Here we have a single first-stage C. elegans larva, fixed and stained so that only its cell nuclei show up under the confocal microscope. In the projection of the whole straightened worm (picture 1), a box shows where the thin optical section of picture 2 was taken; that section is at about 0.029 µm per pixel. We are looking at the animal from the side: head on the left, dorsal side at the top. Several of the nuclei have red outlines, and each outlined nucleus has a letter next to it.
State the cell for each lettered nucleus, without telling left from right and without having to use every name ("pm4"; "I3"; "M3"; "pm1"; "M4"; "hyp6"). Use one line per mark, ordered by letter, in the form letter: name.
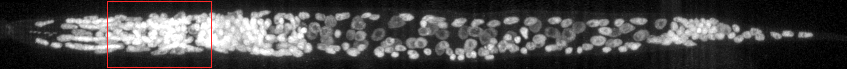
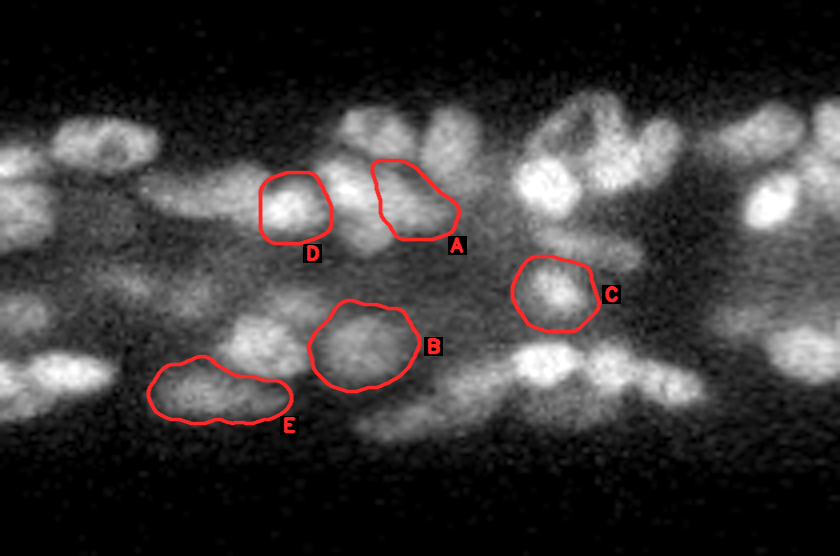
A: I3
B: pm4
C: M3
D: pm1
E: hyp6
